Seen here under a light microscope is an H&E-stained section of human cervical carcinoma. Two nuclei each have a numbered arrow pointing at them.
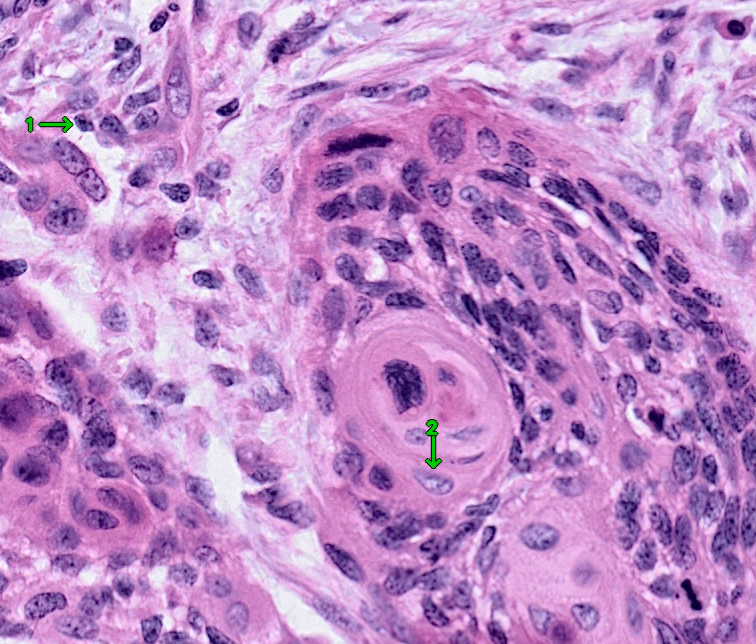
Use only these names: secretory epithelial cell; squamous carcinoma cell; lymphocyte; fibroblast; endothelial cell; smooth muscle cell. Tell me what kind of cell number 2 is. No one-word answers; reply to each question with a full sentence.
The cell that is numbered 2 is a squamous carcinoma cell.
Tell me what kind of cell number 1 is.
Classified as a lymphocyte is the cell with the number 1.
